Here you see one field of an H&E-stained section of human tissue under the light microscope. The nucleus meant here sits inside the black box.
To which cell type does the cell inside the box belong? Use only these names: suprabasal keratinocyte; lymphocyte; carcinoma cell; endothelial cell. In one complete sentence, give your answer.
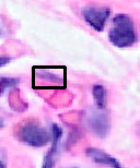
The identity of the cell inside the box: it is an endothelial cell.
